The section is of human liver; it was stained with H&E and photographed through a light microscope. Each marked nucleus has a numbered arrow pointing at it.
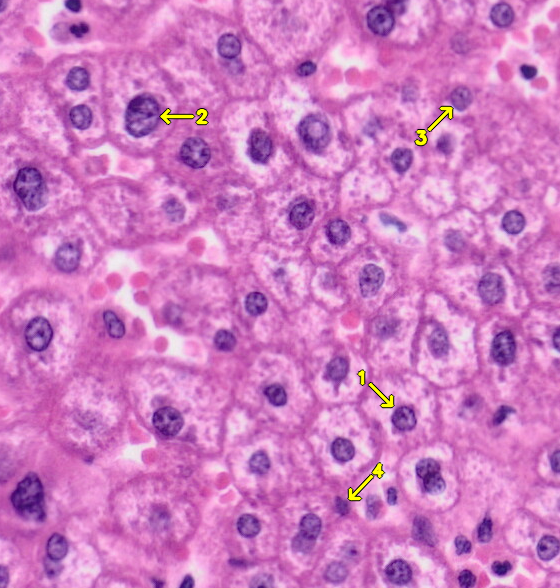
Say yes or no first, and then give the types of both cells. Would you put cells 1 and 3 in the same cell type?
Yes, both are hepatocytes.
